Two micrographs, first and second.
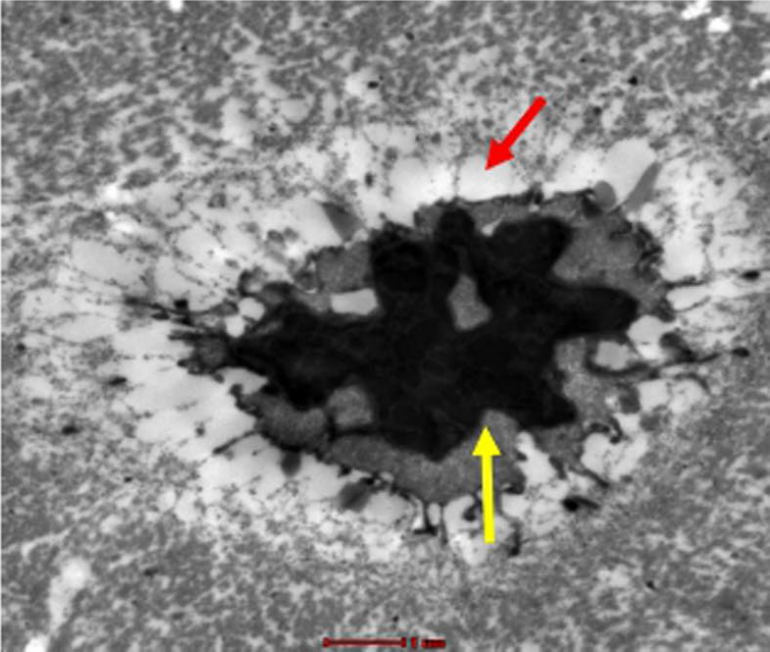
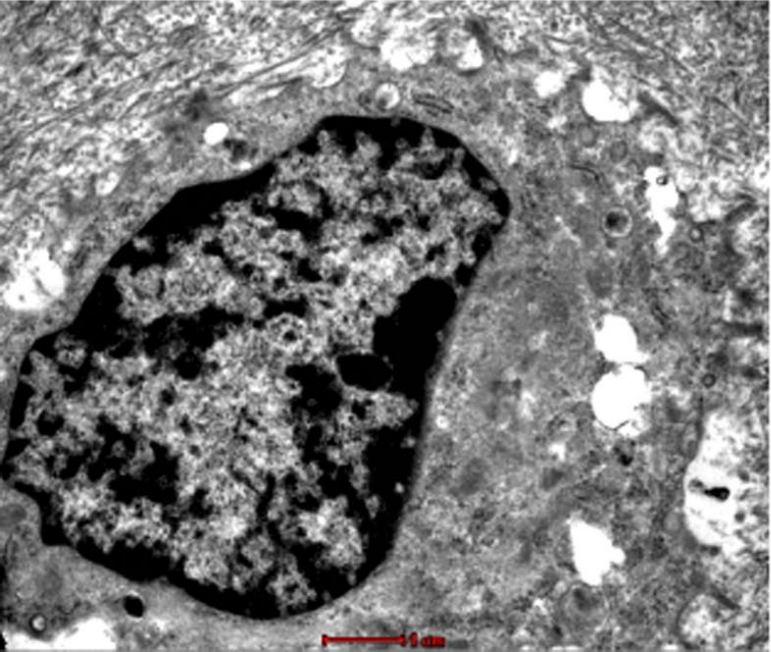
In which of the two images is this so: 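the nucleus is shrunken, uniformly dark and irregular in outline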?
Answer: the first image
